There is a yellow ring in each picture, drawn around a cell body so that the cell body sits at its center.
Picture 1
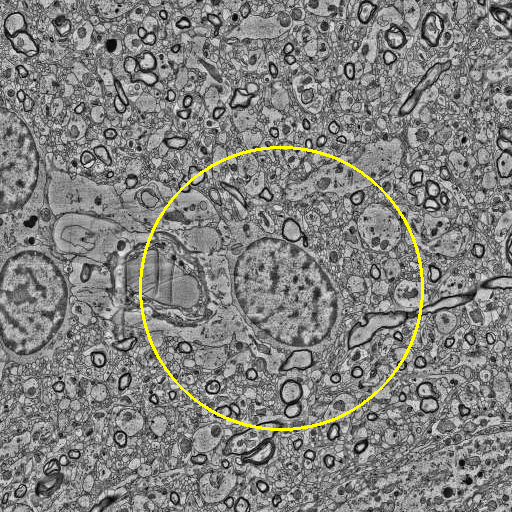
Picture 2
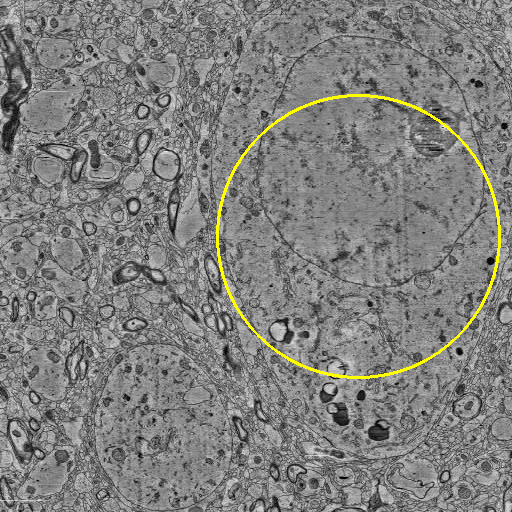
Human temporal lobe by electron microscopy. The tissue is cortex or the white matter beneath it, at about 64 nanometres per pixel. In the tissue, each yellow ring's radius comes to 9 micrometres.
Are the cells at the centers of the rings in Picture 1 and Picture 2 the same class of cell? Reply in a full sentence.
No, the two cells are two classes of cell.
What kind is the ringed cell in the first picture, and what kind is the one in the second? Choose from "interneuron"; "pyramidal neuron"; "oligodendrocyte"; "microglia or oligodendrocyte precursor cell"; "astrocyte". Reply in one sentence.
The first cell is an oligodendrocyte; the second is a pyramidal neuron.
